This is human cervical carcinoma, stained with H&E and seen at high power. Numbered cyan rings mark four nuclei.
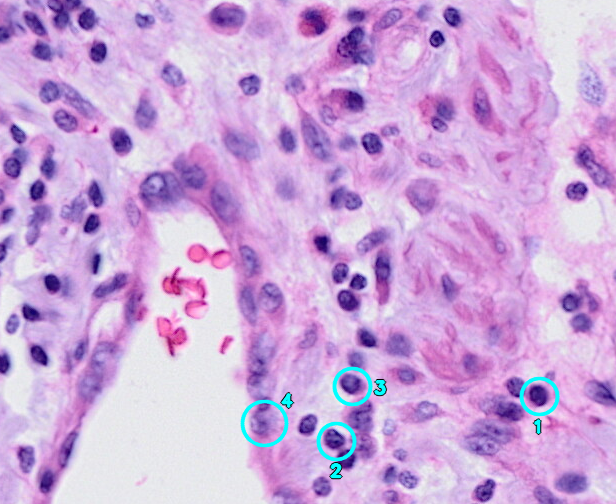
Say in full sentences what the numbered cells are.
Cells 1, 2 and 3 are lymphocytes. Cell 4 is an endothelial cell.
